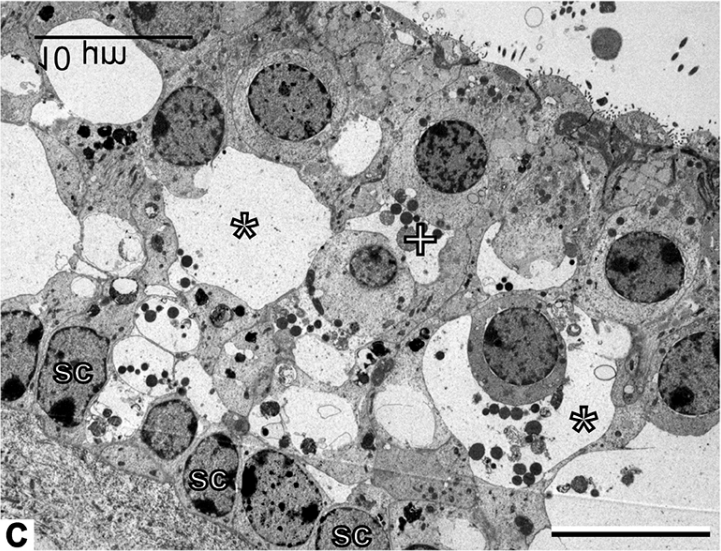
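The sensory epithelium is riddled with large pale, nearly empty spaces bounded by thin membranes, some containing scattered mitochondria and debris, lying around and between rounded hair cell bodies with dark nuclei. A row of supporting cell nuclei sits low, just above the basement membrane, while the overall orderly layering of the epithelium is lost.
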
